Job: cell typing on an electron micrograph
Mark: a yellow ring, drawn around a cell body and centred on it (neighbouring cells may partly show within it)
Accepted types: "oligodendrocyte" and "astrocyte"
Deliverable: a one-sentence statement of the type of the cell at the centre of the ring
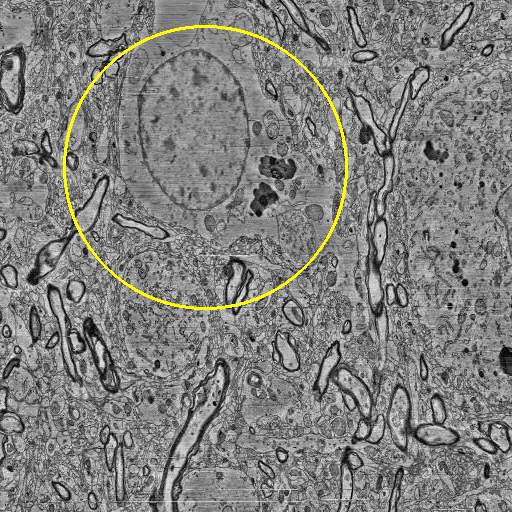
The centred cell body is that of an astrocyte.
